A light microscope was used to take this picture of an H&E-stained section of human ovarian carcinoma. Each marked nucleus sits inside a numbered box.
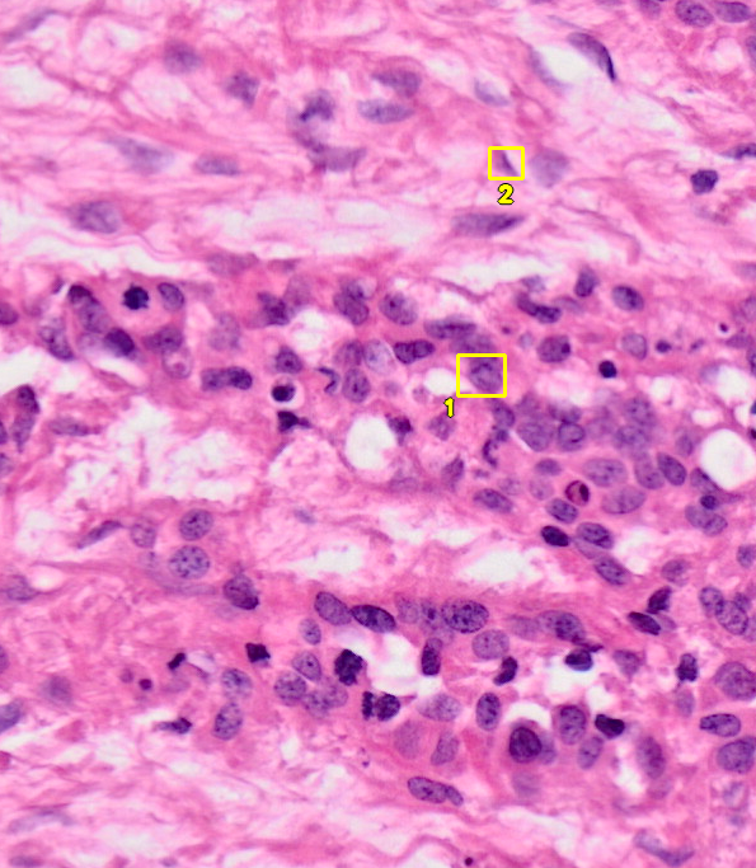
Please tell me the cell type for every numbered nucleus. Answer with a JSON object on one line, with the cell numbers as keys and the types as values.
{"1": "carcinoma cell", "2": "fibroblast"}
